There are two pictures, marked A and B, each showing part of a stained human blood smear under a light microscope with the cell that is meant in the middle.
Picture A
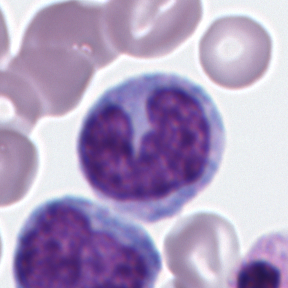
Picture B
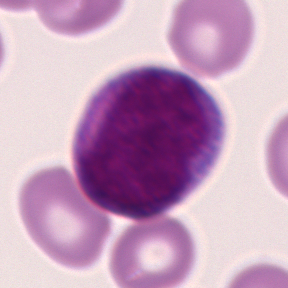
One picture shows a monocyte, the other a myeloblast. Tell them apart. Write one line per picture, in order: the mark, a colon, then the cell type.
A: monocyte
B: myeloblast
